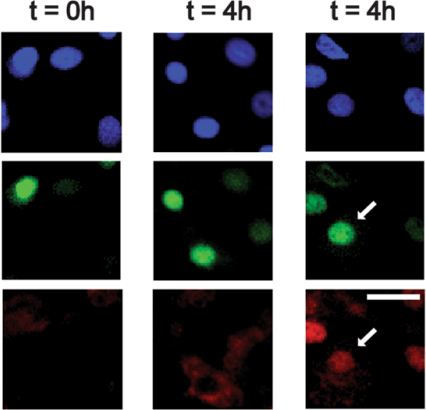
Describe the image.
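These are cultured cells seen in three fluorescence channels of the same fields, with smooth oval nuclei lit up in blue in the top row. In the middle row only some of those nuclei glow bright green, while others are faint. In the red row the signal mostly fills the cytoplasm around the nuclei, but in the cell marked by the arrows the red collects in the oval nucleus that is also bright green.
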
